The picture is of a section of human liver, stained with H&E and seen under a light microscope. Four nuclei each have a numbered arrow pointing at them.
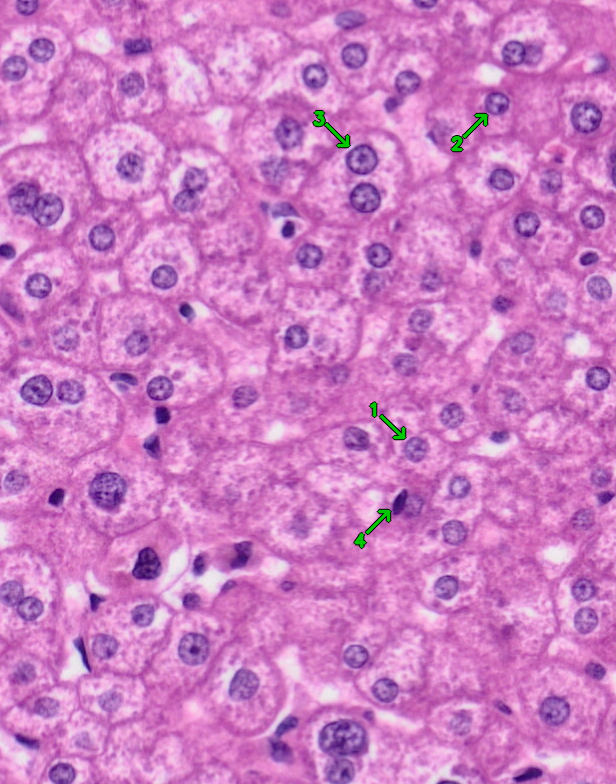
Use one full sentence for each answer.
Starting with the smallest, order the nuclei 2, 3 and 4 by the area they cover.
By area, going up from the smallest, they rank 4, 2, 3.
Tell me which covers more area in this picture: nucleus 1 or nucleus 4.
Nucleus 1 is larger, with an area about 1.5 times that of nucleus 4.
